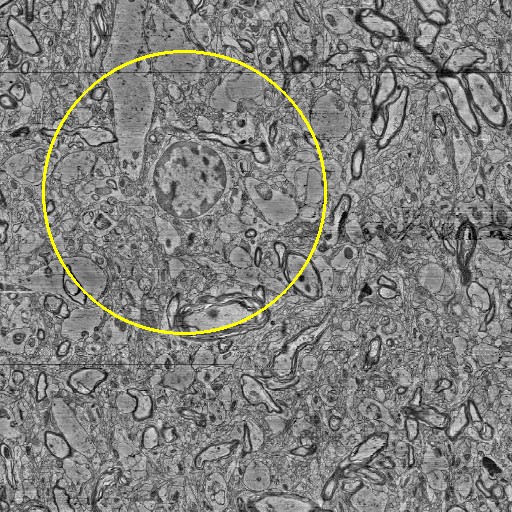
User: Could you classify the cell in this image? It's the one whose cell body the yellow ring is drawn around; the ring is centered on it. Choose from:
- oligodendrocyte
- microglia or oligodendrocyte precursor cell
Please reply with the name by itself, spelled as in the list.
microglia or oligodendrocyte precursor cell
